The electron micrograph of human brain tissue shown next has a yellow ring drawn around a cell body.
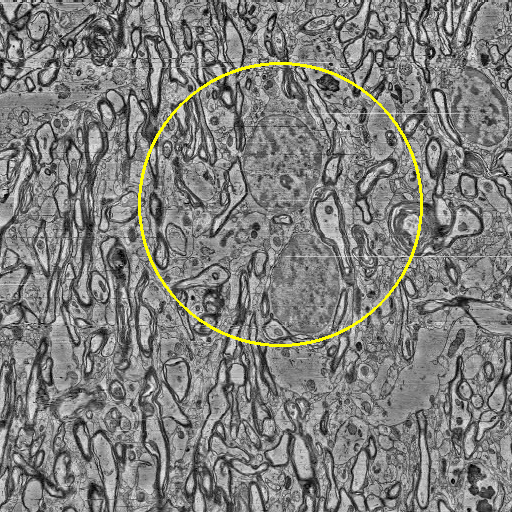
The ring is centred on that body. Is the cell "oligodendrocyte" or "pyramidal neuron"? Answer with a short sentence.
The cell in question is an oligodendrocyte.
